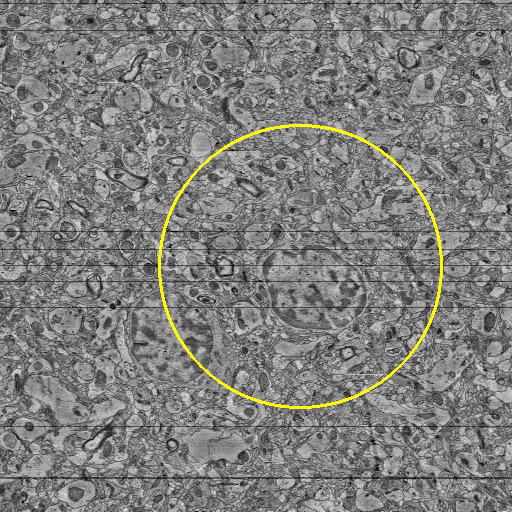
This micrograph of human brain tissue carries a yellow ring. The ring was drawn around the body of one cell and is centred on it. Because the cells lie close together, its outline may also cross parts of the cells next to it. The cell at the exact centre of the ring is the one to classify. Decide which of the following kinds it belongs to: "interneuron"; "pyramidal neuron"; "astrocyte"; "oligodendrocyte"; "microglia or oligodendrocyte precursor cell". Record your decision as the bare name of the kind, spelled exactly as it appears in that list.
microglia or oligodendrocyte precursor cell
